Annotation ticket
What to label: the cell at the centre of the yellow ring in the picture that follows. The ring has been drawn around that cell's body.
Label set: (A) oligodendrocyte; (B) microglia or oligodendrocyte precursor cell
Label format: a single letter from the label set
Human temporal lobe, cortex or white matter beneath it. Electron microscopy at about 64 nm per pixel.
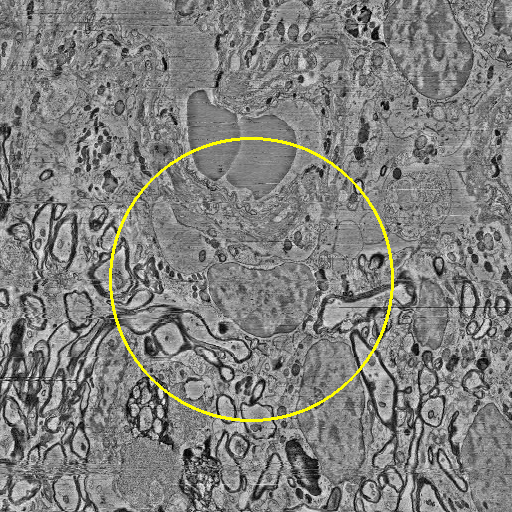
B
